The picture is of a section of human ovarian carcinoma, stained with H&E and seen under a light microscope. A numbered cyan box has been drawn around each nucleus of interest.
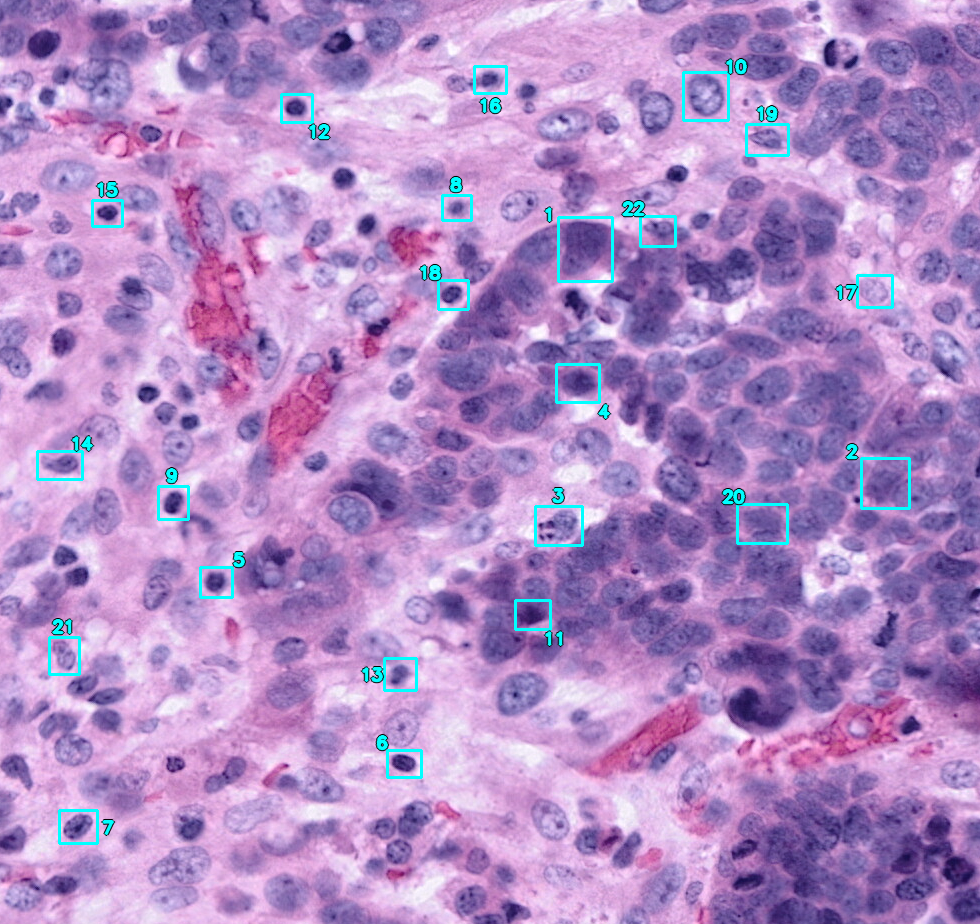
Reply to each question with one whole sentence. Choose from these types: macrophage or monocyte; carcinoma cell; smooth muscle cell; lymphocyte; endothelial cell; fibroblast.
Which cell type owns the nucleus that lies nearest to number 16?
The nucleus nearest to number 16 is that of a macrophage or monocyte.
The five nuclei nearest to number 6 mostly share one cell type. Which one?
Most of the five nuclei nearest to number 6 are those of macrophages or monocytes.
